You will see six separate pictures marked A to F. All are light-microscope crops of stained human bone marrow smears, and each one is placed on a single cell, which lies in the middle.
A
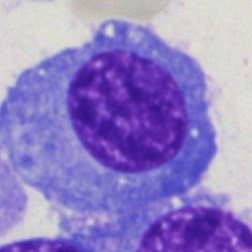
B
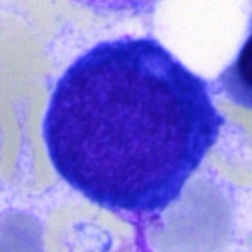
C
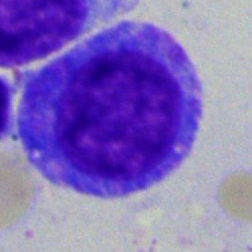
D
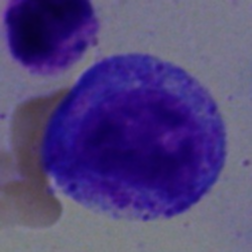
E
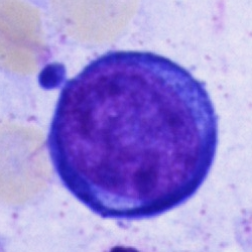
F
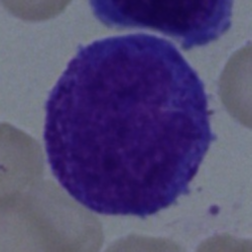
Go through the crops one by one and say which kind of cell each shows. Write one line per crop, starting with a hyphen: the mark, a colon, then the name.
- A: plasma cell
- B: proerythroblast
- C: promyelocyte
- D: promyelocyte
- E: proerythroblast
- F: promyelocyte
